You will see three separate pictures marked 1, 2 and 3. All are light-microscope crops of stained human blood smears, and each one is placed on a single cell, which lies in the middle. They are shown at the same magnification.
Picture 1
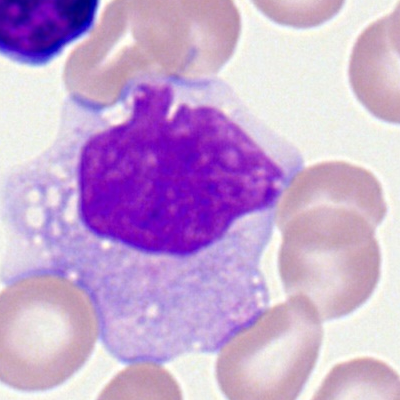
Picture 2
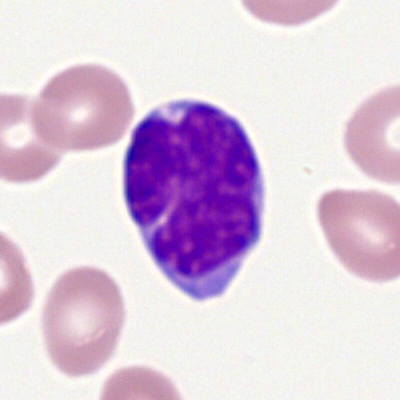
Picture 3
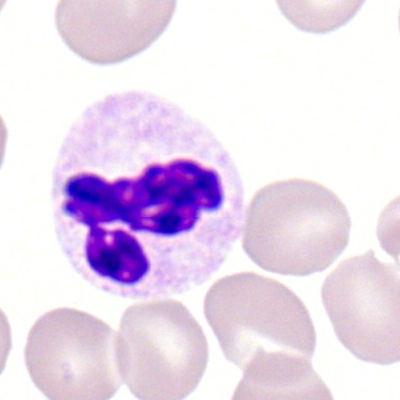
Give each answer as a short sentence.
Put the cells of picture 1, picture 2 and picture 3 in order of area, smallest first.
The order is 2, 3, 1, beginning with the smallest.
